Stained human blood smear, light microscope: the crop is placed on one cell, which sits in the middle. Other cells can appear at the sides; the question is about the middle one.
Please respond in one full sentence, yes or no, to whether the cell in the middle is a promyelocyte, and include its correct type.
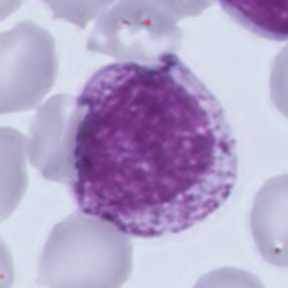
No, the central cell does not represent a promyelocyte, but a myelocyte.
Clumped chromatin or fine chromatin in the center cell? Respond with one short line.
The chromatin remains finely textured, with no coarse clumps to speak of.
